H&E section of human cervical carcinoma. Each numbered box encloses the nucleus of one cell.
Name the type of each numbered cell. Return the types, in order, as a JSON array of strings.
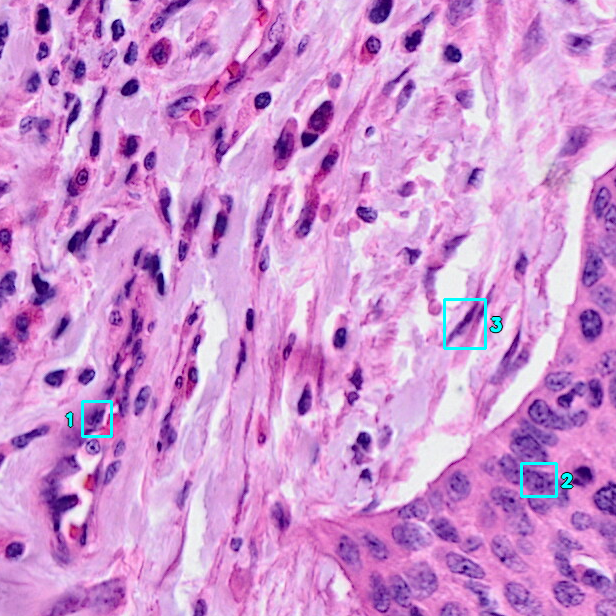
["endothelial cell", "squamous carcinoma cell", "fibroblast"]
